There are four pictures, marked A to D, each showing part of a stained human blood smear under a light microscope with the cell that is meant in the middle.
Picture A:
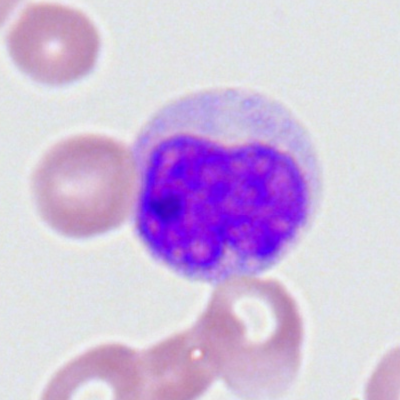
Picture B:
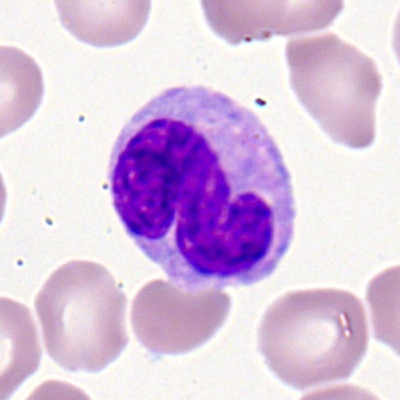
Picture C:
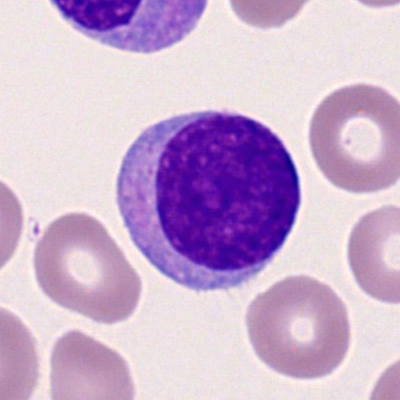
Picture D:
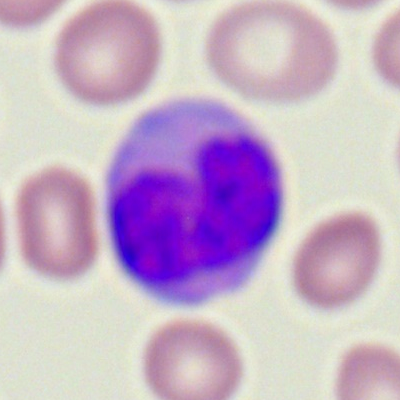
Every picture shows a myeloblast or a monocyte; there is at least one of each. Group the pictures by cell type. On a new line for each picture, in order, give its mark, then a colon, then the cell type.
A: monocyte
B: monocyte
C: myeloblast
D: monocyte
